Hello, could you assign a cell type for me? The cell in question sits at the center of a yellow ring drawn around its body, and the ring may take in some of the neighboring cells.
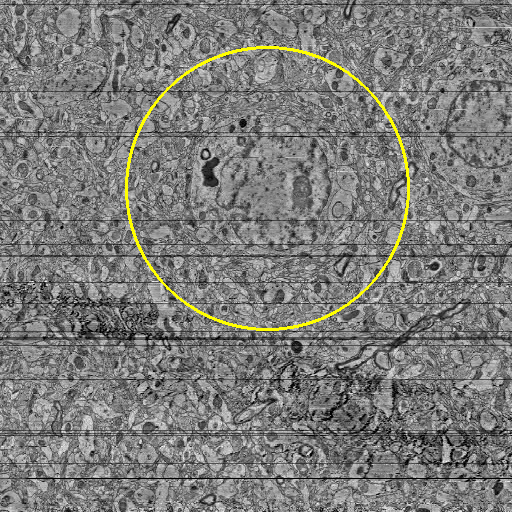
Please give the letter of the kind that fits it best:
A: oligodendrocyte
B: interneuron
B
